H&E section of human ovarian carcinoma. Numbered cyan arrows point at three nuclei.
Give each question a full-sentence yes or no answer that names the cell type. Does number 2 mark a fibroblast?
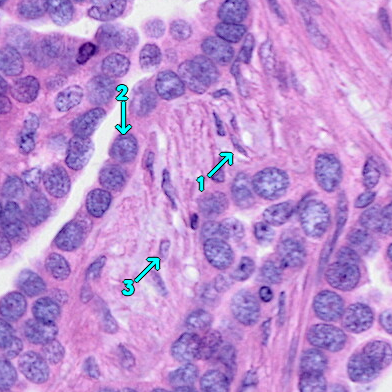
No, it is a carcinoma cell that is marked with number 2, not a fibroblast.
